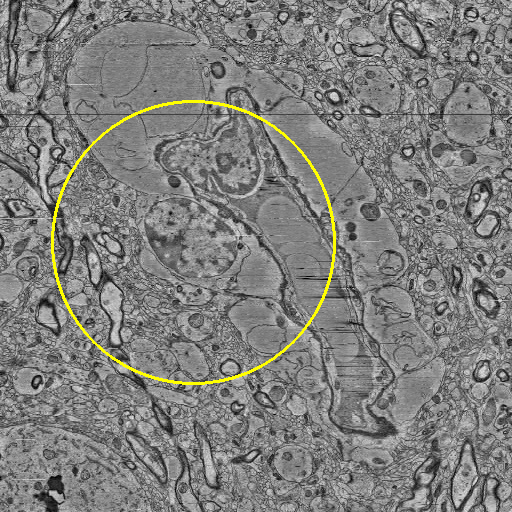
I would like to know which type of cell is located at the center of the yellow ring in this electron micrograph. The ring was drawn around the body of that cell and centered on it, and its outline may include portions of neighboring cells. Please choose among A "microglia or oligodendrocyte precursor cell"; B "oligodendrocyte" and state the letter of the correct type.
A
